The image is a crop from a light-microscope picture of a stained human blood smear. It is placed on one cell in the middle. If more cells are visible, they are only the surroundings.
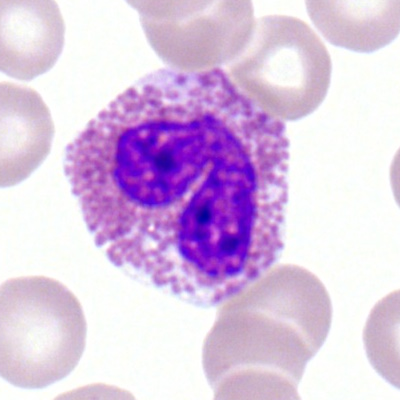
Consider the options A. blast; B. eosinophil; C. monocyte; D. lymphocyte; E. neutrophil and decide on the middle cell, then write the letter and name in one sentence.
The one to choose is option B, as the cell in the middle is an eosinophil.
